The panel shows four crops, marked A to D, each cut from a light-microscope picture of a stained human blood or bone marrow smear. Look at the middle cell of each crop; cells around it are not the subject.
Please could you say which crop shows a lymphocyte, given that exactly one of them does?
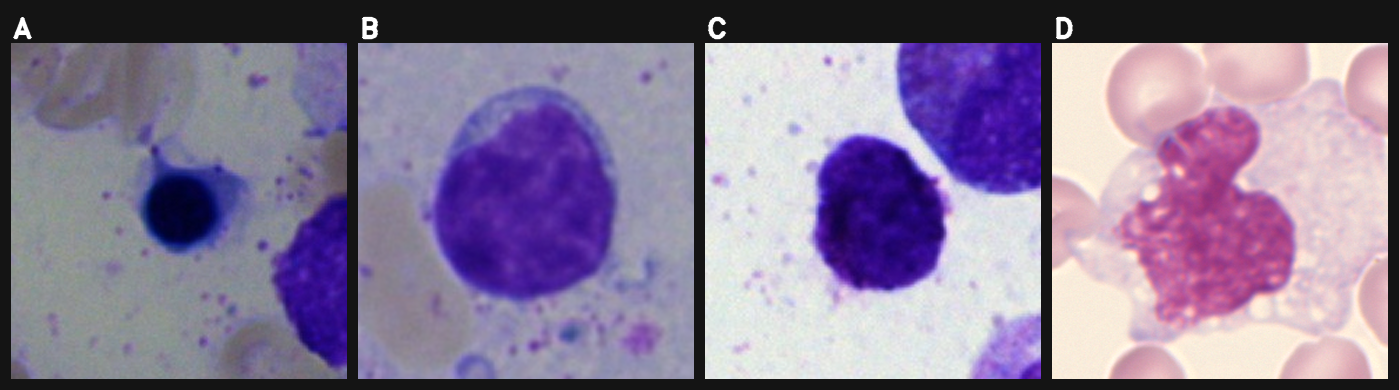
B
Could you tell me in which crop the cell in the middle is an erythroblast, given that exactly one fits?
A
